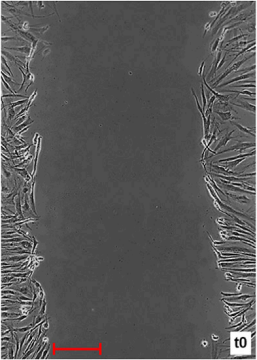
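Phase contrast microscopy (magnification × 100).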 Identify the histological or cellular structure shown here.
Scratch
